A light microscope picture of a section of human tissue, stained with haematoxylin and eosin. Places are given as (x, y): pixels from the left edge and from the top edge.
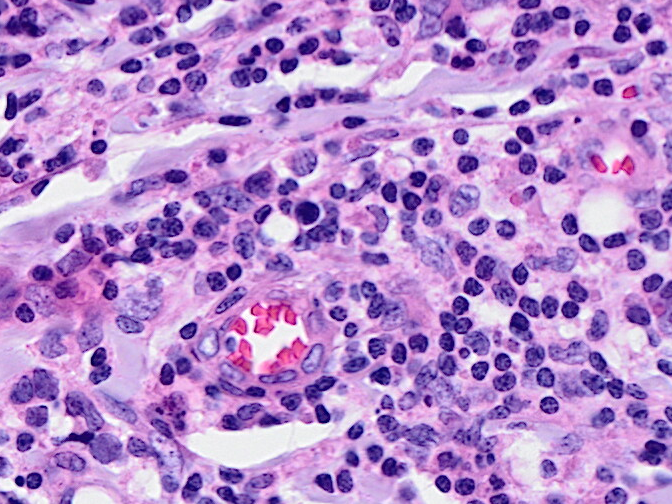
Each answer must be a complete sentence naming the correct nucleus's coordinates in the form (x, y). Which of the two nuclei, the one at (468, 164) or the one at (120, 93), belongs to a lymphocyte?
Identified as belonging to a lymphocyte is the nucleus at (468, 164).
